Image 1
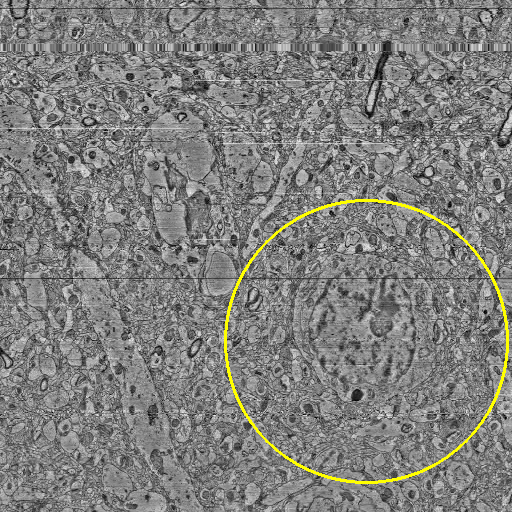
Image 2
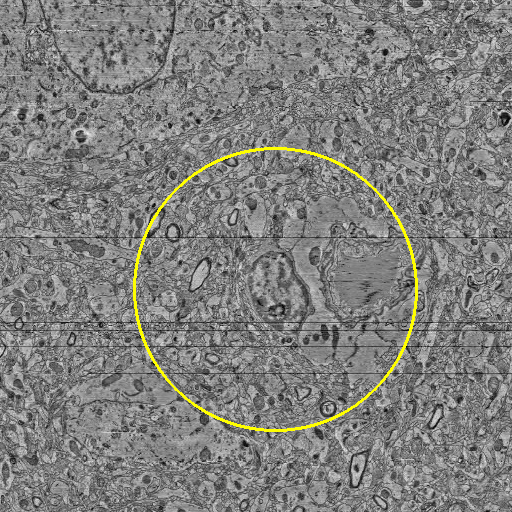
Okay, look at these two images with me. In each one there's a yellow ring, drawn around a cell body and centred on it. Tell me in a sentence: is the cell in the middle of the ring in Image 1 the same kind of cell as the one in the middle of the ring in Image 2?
No, they're two kinds of cell.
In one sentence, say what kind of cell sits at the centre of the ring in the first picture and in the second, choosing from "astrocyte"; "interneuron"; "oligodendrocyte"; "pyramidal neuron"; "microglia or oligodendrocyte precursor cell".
The first picture's ringed cell is an interneuron, while the second picture's is an oligodendrocyte.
